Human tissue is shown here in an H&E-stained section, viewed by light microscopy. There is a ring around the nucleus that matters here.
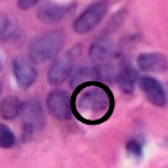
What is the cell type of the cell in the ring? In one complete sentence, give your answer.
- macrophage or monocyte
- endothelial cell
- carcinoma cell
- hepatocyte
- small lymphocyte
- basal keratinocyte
Labelled by cell type, the cell in the ring is a basal keratinocyte.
